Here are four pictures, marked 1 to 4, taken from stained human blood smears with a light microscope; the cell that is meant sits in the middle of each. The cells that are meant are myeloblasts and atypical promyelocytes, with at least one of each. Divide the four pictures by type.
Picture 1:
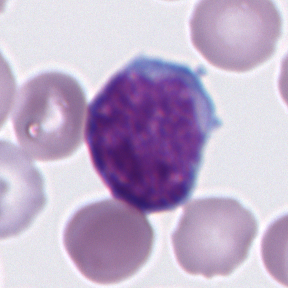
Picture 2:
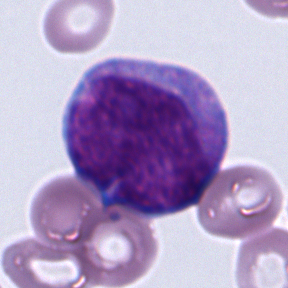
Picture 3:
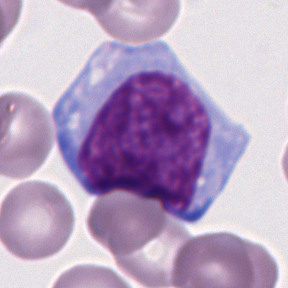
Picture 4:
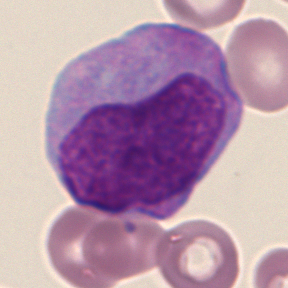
1: myeloblast
2: atypical promyelocyte
3: myeloblast
4: atypical promyelocyte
